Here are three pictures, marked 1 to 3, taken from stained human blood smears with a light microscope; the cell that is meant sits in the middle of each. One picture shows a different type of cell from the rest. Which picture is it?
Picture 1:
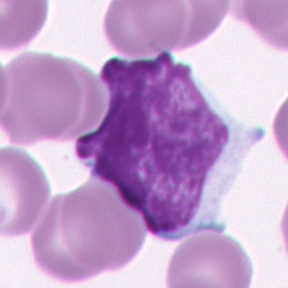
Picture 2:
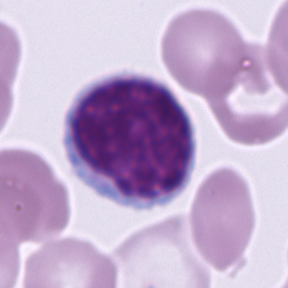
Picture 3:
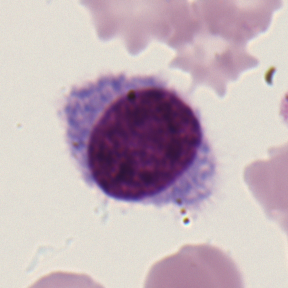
3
